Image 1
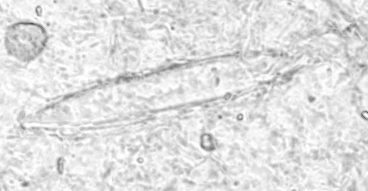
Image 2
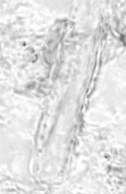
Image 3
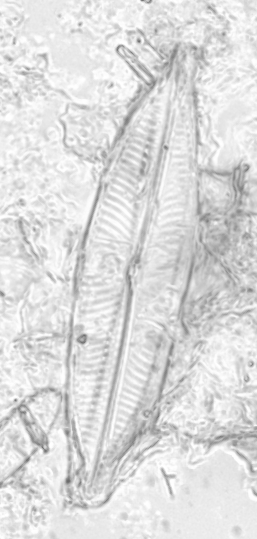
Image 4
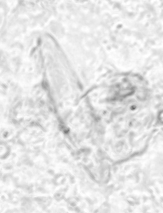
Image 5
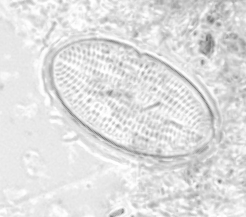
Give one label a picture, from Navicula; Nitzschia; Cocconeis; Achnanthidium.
Picture 1: Nitzschia
Picture 2: Nitzschia
Picture 3: Navicula
Picture 4: Achnanthidium
Picture 5: Cocconeis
